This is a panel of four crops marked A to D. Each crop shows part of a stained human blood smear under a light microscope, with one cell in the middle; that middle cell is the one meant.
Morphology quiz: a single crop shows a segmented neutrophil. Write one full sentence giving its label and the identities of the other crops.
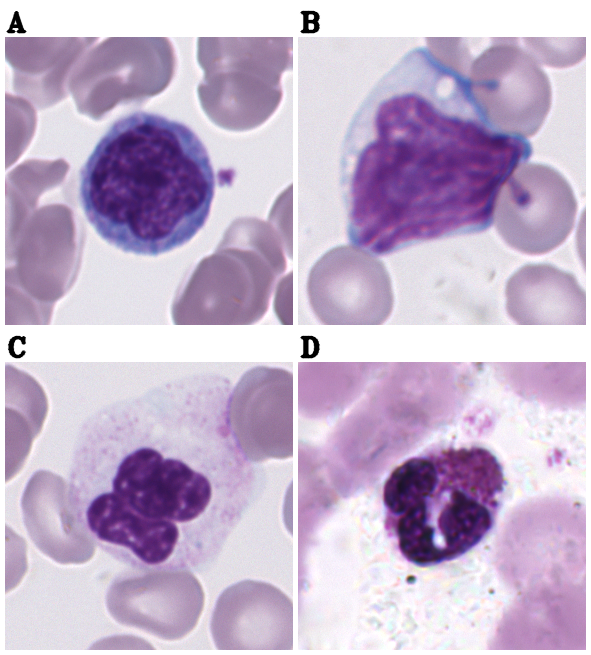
The cell occupying crop C is a segmented neutrophil, whereas crop A is a monocyte, crop B is a myeloblast and crop D is an eosinophil.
